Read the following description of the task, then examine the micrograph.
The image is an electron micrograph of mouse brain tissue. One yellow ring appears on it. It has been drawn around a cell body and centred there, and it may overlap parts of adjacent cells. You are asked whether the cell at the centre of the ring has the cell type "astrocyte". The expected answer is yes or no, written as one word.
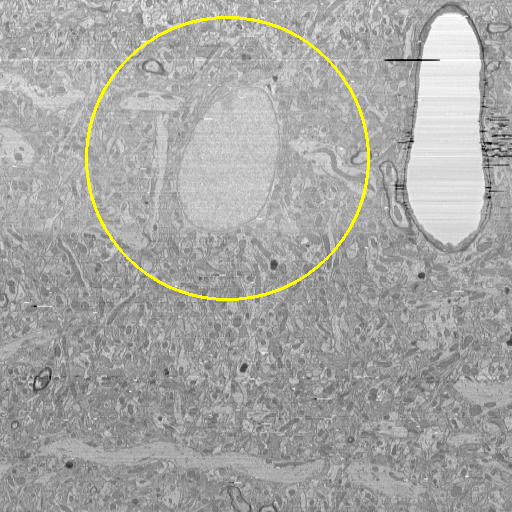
yes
